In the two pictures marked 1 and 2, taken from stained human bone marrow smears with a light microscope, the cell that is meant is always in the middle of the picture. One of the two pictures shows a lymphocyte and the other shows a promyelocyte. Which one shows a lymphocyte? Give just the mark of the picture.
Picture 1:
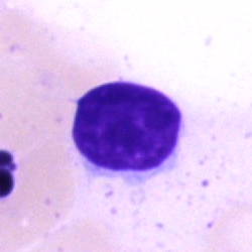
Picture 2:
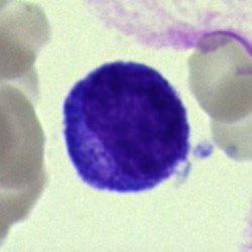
1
